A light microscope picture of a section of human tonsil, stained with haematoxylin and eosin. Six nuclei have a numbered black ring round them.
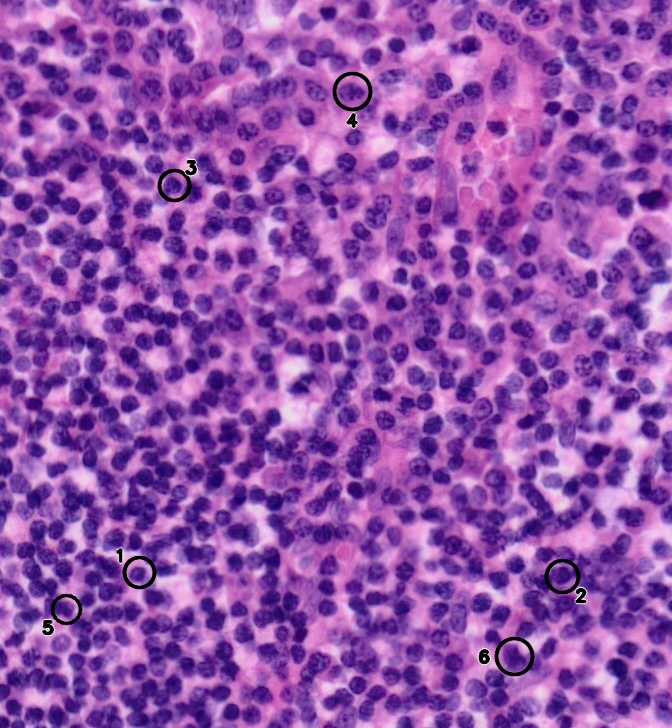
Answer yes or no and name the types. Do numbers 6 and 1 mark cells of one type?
No, cell 6 should be called a proliferating B cell, and cell 1 should be called a small lymphocyte.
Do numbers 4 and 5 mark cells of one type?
No, as to type, cell 4 is a plasma cell, and cell 5 is a small lymphocyte.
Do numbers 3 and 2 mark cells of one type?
Yes, cell 3 and cell 2 are both small lymphocytes.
